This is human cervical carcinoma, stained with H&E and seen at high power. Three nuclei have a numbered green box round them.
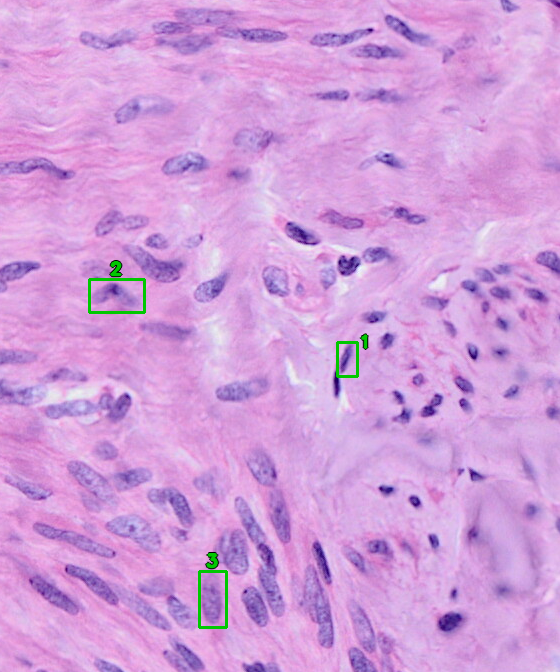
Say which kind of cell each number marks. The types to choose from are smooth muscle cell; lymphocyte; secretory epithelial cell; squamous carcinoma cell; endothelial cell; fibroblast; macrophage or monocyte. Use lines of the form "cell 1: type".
cell 1: fibroblast
cell 2: fibroblast
cell 3: smooth muscle cell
